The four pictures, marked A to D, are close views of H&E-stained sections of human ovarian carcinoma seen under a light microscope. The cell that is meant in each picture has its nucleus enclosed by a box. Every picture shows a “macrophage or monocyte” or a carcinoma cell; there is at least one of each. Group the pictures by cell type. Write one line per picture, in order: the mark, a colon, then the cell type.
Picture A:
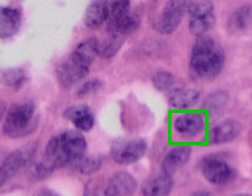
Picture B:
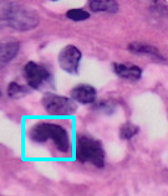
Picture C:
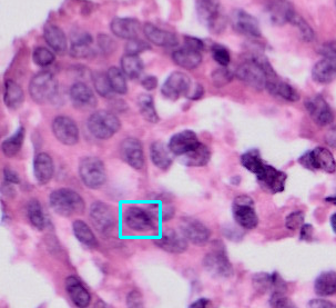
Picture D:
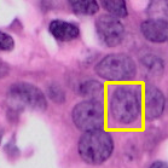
A: macrophage or monocyte
B: carcinoma cell
C: carcinoma cell
D: carcinoma cell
